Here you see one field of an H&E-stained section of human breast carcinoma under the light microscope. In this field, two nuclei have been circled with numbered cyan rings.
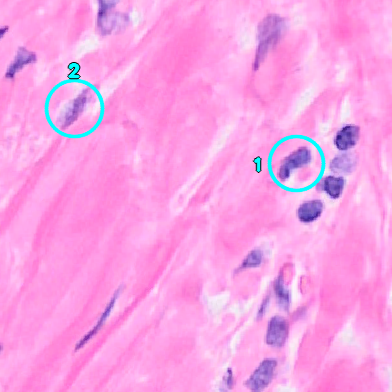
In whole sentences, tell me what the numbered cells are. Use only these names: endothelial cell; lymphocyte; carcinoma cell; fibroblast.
Cell 1 is a lymphocyte. Cell 2 is a fibroblast.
